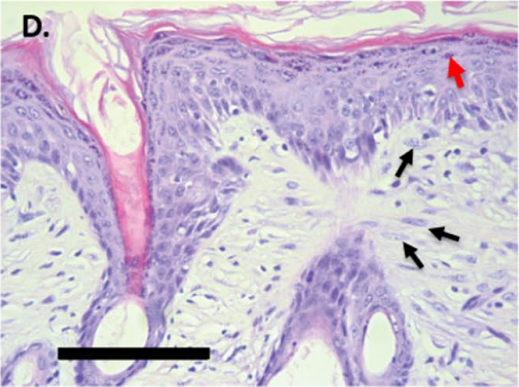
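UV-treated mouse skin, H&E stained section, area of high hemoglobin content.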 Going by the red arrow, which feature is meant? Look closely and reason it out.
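Prominent stratum granulosum. The arrow points to the upper epidermal layer just beneath the pink cornified layer. Cells in that layer are flattened with darker granular cytoplasm.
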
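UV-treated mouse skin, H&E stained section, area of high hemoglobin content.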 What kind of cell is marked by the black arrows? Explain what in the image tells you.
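Unusual dermal cells with enlarged, cigar-shaped nuclei. The arrows point to cells in the dermis below the epidermis. Their nuclei are elongated and spindle-shaped.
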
